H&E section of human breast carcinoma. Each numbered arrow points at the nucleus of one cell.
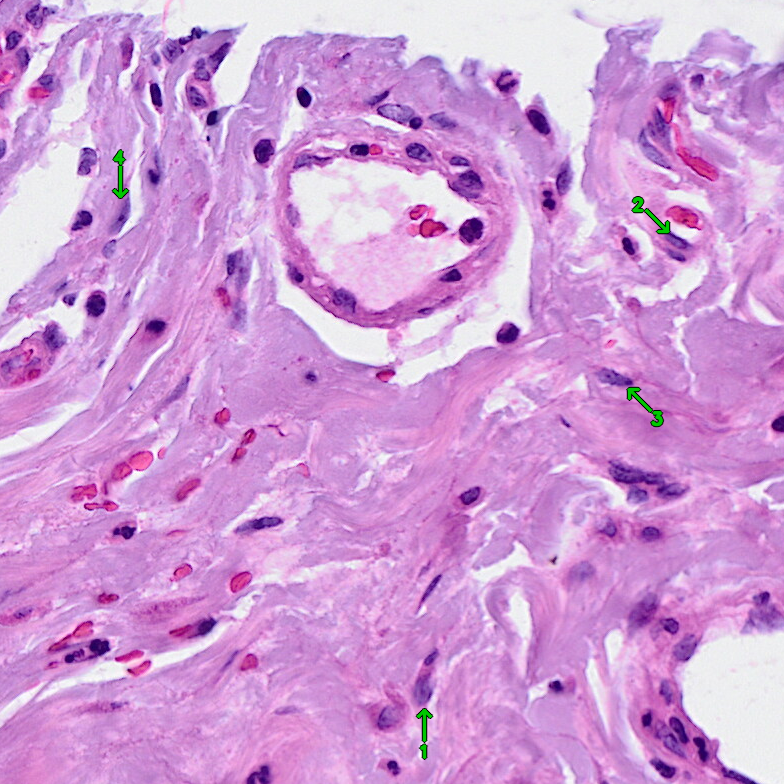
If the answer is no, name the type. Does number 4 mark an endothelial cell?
No, it is a fibroblast.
